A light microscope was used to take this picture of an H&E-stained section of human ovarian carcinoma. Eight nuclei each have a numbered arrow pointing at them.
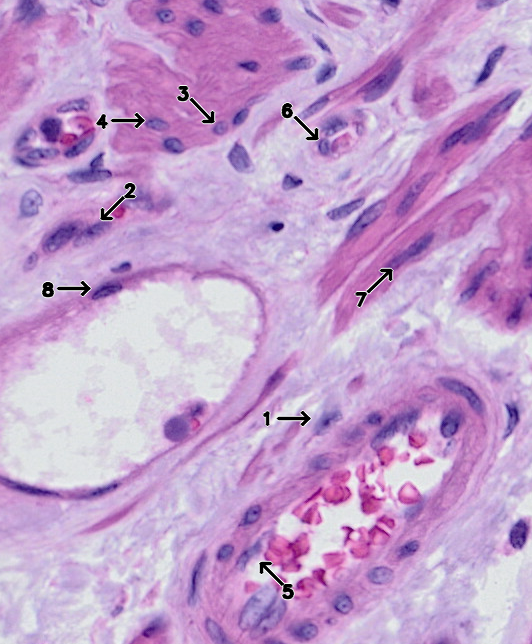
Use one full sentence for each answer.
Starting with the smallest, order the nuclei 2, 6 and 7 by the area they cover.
The order from the smallest nucleus to the largest is 6, 2, 7.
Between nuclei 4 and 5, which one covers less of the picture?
It is nucleus 4; nucleus 5 has about 2 times its area.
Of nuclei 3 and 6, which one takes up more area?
Of the two, number 6 is bigger and takes up about 1.5 times the area of number 3.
